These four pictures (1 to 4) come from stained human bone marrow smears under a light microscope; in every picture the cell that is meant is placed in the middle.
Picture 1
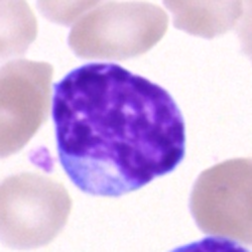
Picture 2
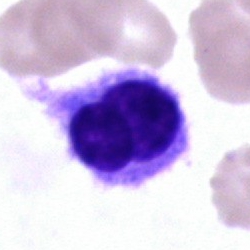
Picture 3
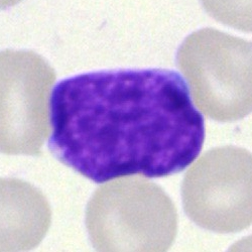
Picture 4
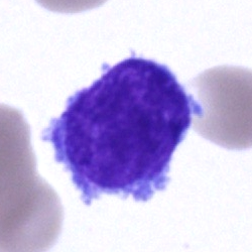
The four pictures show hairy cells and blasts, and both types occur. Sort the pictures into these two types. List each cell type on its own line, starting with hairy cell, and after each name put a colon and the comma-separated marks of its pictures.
hairy cell: 2
blast: 1, 3, 4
